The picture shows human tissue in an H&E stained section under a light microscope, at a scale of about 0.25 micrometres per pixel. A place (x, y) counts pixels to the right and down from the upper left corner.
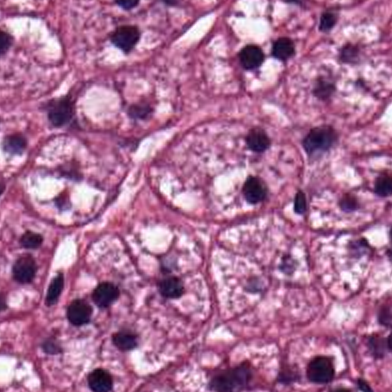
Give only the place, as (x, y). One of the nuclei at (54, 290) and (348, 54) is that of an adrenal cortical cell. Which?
(348, 54)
